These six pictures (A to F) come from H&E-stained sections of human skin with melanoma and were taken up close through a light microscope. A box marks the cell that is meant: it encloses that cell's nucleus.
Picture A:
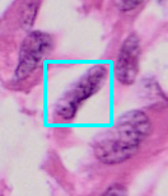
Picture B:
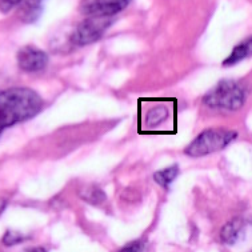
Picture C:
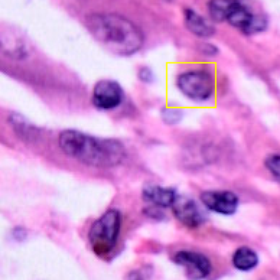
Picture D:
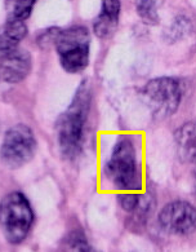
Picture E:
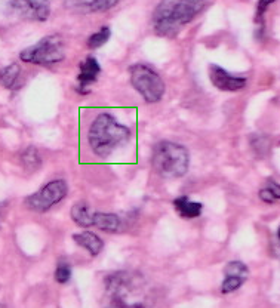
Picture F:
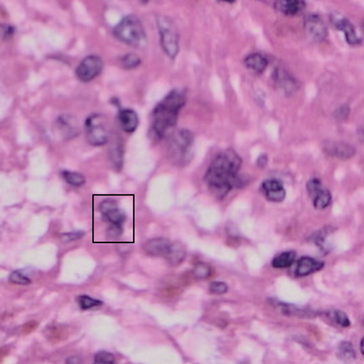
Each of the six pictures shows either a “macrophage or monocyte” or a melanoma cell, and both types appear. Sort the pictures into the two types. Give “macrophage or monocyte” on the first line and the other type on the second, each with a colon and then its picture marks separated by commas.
macrophage or monocyte: B, C, F
melanoma cell: A, D, E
